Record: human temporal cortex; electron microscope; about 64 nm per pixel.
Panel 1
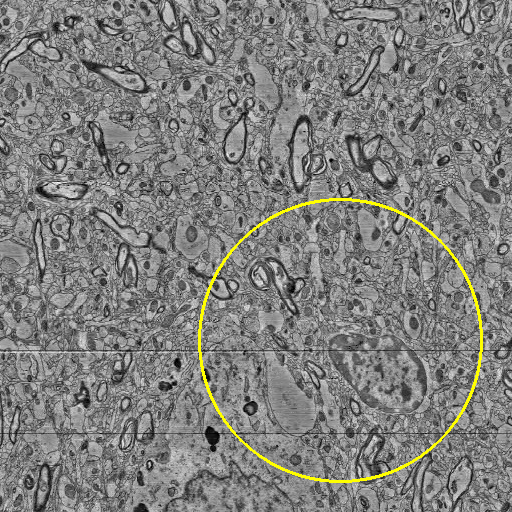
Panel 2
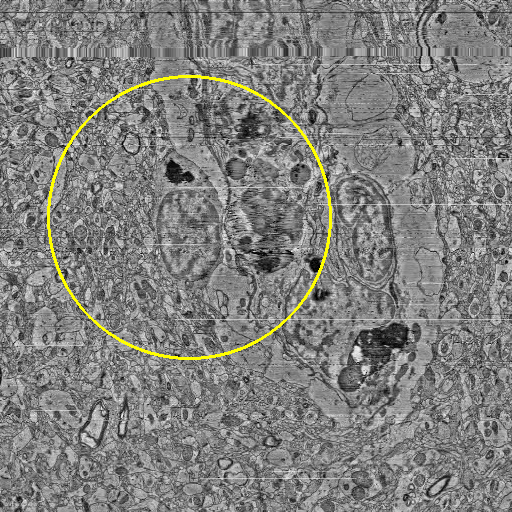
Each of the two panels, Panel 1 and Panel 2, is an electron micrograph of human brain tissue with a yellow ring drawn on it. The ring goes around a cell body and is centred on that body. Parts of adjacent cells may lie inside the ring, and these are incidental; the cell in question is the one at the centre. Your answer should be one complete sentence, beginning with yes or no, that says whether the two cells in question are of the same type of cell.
No, the two cells are of two types.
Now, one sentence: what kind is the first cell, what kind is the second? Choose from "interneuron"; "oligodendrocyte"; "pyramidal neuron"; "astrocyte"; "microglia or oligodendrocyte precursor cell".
The first picture has a microglial cell or oligodendrocyte precursor cell at its ring centre, and the second has an oligodendrocyte.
